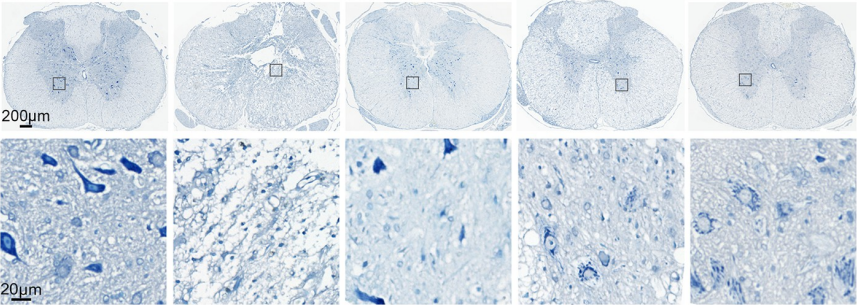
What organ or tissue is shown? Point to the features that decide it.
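Round transverse sections with a central butterfly-shaped gray matter surrounded by paler white matter. A small central canal lies in the middle of the gray matter.
Hence: spinal cord.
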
